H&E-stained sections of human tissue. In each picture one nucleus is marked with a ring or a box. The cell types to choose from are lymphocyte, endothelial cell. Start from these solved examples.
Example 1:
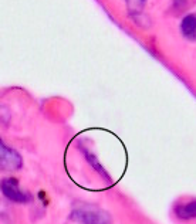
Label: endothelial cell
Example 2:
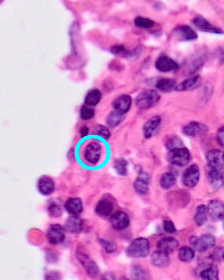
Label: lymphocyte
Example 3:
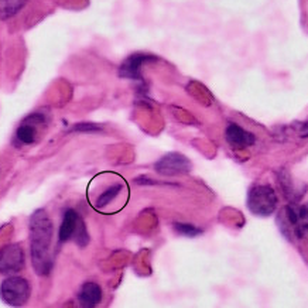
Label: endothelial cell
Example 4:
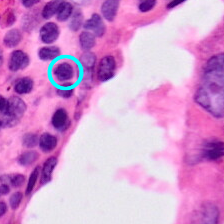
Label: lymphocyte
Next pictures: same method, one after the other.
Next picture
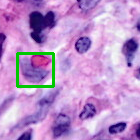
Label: endothelial cell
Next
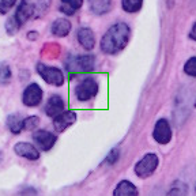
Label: lymphocyte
